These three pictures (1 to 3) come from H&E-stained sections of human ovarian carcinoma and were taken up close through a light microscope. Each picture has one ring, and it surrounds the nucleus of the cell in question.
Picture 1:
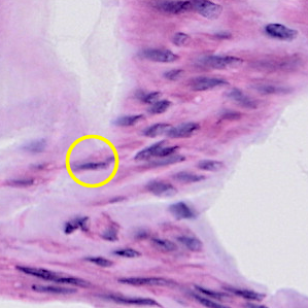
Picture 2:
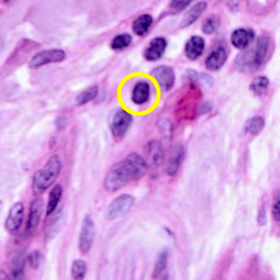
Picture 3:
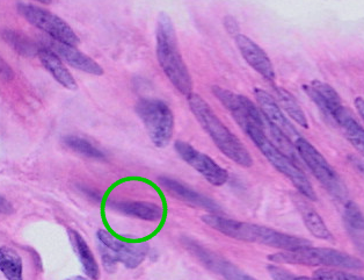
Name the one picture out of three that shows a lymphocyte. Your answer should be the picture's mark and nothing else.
2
